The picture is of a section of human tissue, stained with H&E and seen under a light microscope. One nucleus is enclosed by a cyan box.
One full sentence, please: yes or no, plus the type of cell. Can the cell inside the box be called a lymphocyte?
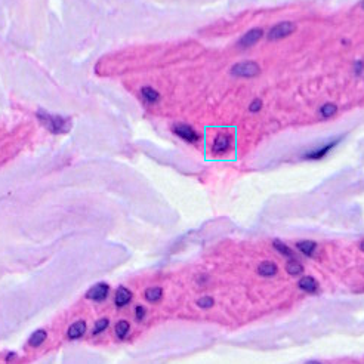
No, the cell inside the box is classed as a smooth muscle cell, not as a lymphocyte.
